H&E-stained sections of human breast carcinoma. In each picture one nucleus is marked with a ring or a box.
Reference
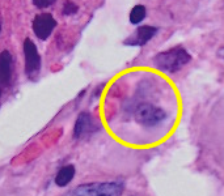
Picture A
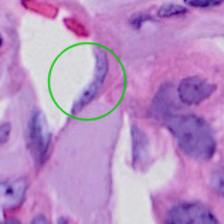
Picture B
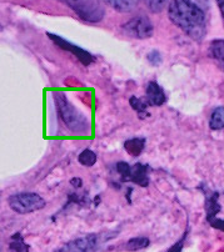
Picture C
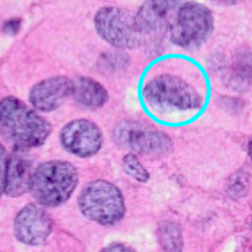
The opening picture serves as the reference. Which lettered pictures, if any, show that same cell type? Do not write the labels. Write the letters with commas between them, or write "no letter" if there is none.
A, B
